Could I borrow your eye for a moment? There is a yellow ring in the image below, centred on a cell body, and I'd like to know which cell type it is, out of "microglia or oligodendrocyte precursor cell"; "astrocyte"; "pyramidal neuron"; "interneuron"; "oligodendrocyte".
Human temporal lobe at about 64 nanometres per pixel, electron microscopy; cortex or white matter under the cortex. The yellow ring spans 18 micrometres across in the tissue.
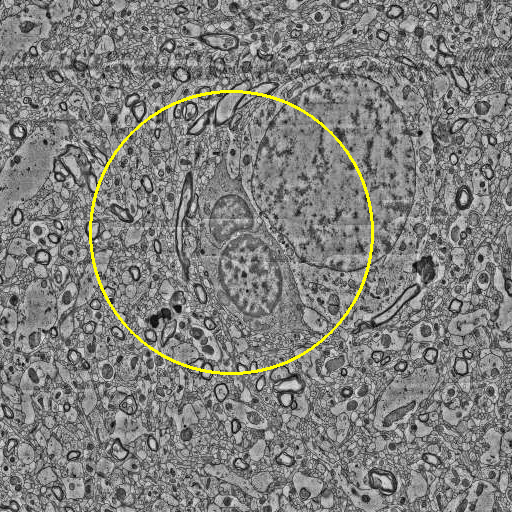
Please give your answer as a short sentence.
The cell body at the centre is that of an oligodendrocyte.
